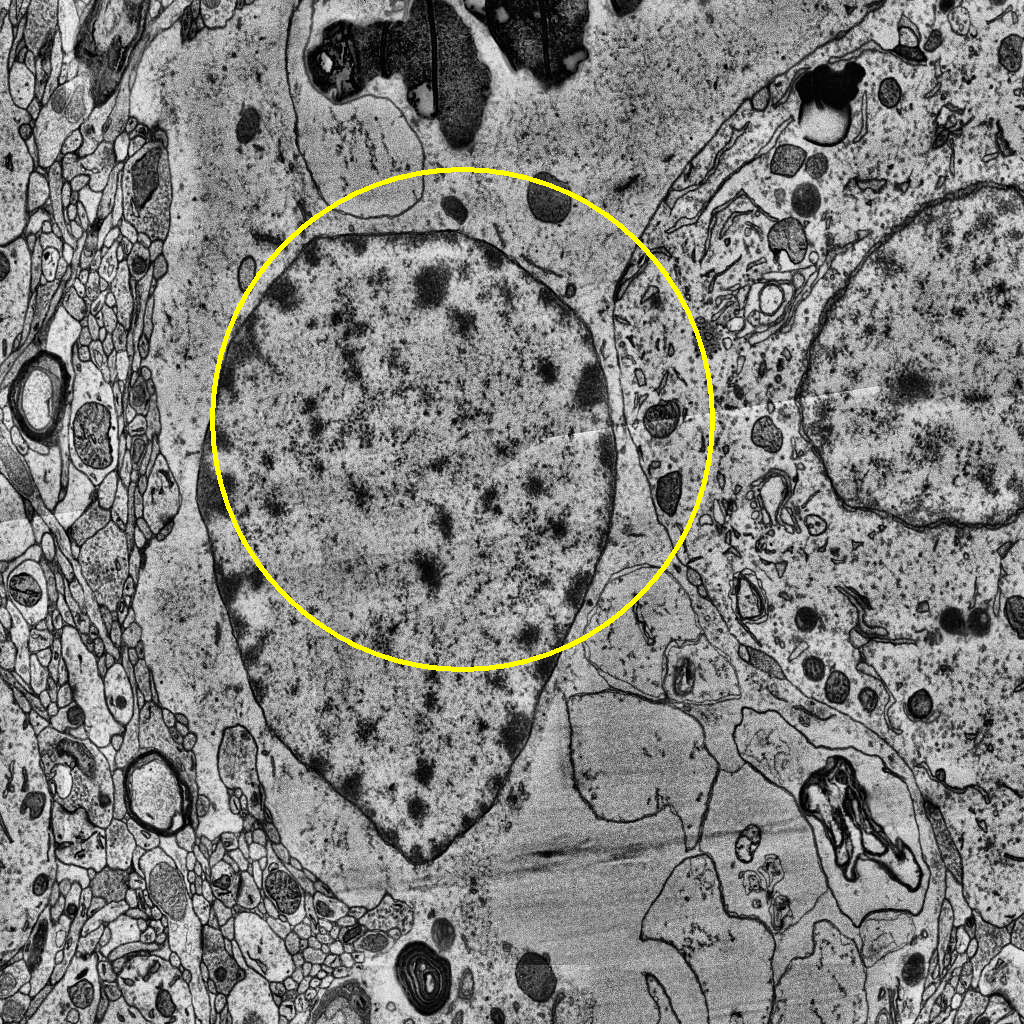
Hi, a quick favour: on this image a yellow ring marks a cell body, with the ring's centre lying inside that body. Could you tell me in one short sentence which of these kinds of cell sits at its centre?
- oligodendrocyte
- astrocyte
The ring's centre lies in an astrocyte.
